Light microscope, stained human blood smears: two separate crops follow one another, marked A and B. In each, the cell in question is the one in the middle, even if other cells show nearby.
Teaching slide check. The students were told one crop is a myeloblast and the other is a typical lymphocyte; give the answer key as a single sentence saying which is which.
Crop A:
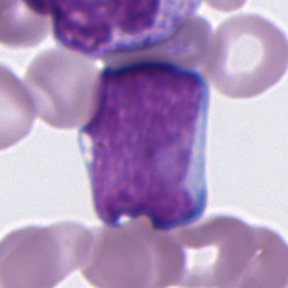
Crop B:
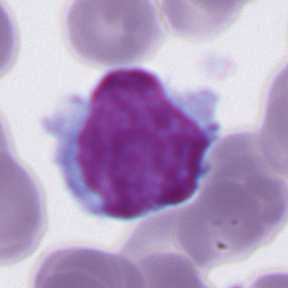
The one in crop A is a myeloblast, and the one in crop B is a typical lymphocyte.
